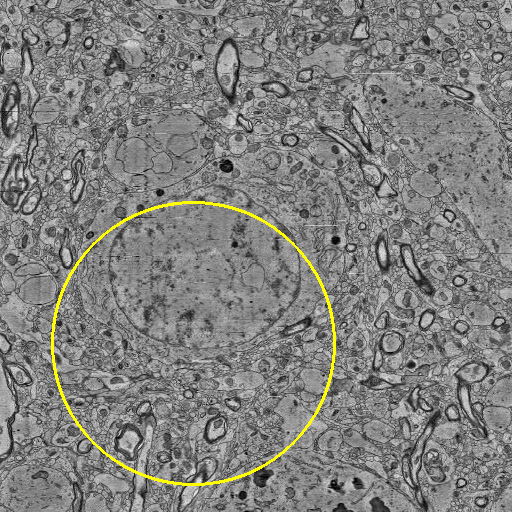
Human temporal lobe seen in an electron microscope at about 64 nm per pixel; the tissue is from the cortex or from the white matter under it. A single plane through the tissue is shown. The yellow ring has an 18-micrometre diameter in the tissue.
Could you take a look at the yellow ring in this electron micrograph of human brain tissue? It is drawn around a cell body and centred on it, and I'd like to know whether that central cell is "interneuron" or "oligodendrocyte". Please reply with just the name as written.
interneuron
